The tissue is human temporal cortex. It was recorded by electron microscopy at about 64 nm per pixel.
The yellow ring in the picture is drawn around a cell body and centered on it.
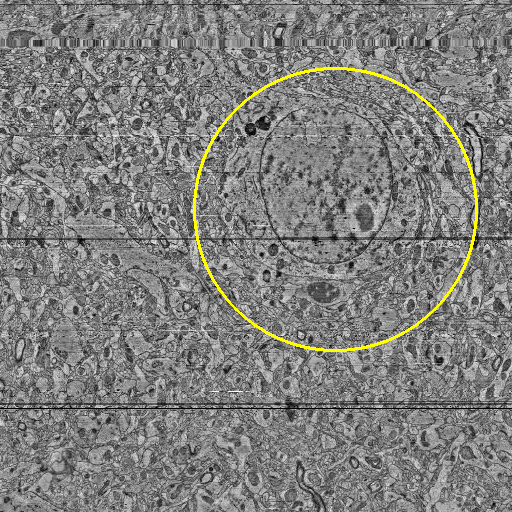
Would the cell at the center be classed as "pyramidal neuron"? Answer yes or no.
Yes, it belongs to that class.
